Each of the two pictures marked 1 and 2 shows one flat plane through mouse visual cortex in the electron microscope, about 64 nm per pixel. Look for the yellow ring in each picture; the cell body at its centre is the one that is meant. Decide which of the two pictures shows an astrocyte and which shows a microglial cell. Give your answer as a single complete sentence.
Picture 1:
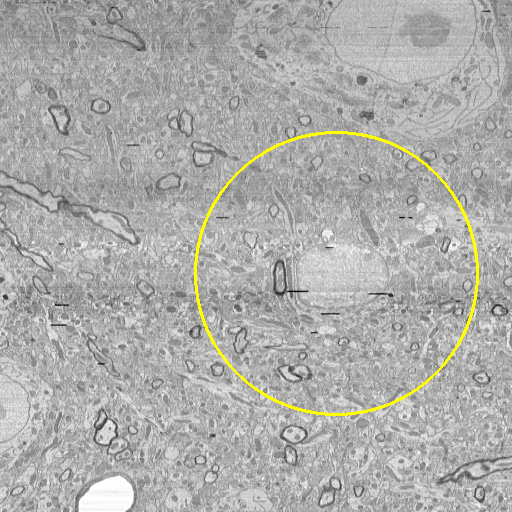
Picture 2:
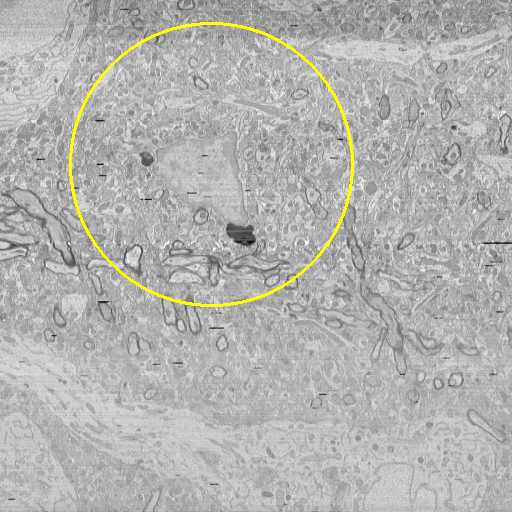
In picture 1 the cell is an astrocyte; in picture 2, a microglial cell.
